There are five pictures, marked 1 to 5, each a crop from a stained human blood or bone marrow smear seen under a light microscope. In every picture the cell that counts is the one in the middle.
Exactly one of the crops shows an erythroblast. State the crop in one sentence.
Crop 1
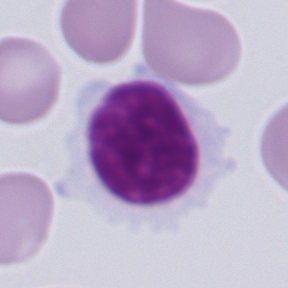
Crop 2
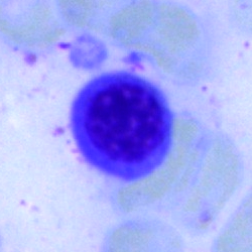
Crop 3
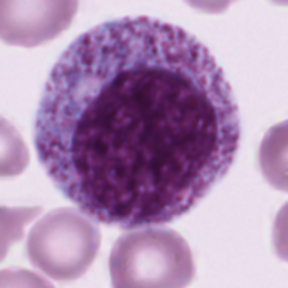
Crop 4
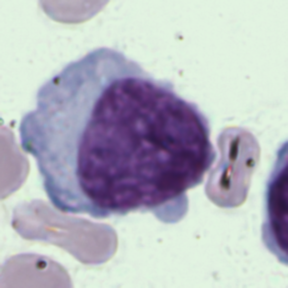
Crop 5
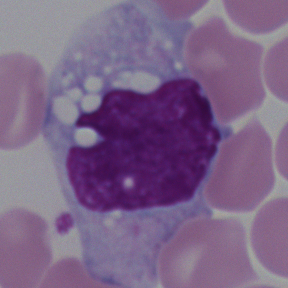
Only in crop 2 is an erythroblast shown.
